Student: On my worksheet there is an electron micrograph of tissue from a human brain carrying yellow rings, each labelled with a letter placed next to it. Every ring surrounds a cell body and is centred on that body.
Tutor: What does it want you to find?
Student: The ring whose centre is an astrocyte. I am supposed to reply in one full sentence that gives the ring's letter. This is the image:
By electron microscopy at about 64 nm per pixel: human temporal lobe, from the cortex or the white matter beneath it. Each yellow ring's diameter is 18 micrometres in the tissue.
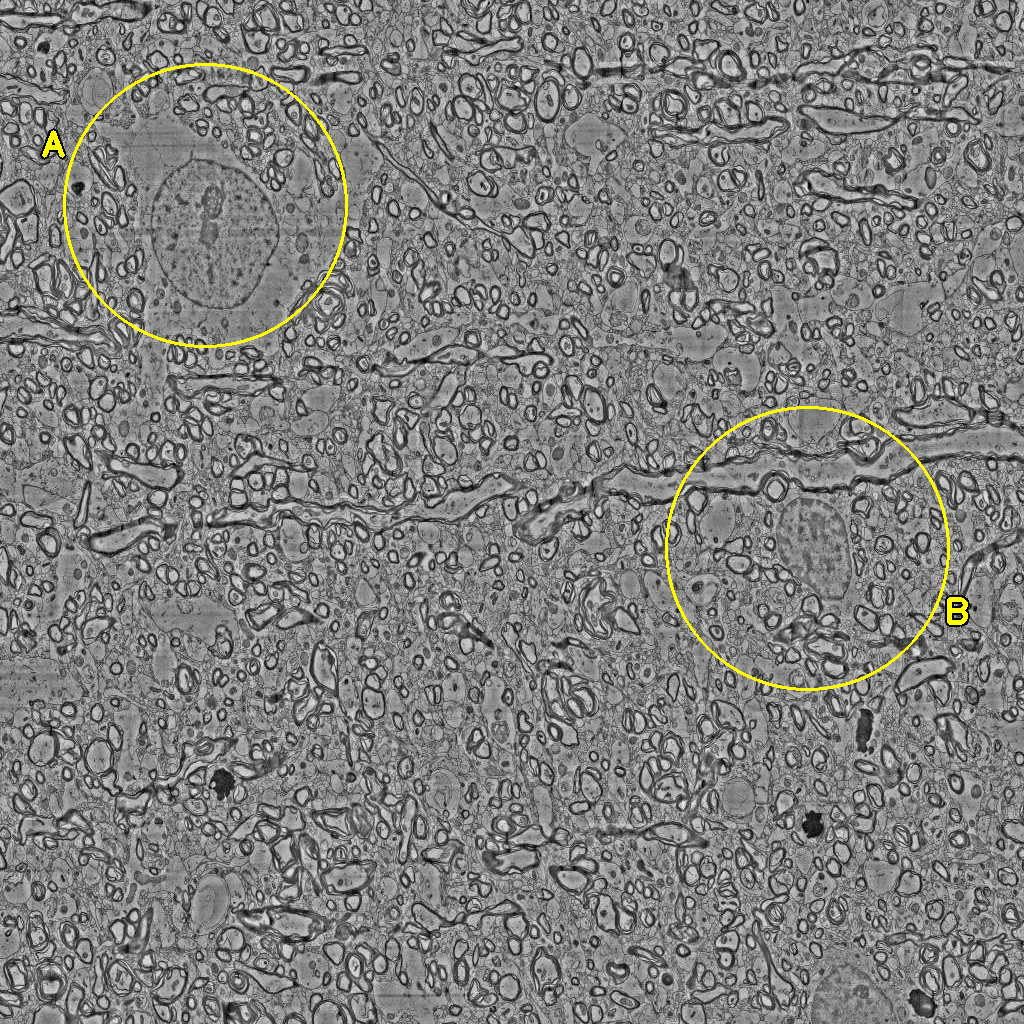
The cell asked for, shown in the picture, lies at the centre of ring A.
